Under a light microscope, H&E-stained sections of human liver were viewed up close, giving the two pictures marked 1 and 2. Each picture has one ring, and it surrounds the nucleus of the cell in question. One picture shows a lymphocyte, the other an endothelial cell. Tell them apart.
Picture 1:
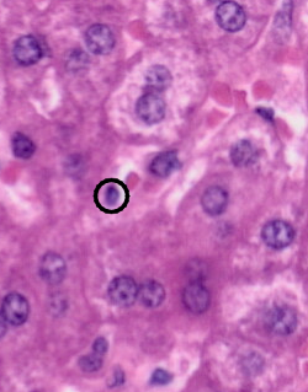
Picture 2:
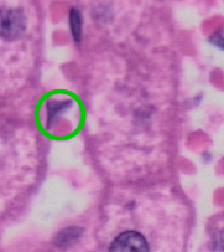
1: lymphocyte
2: endothelial cell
